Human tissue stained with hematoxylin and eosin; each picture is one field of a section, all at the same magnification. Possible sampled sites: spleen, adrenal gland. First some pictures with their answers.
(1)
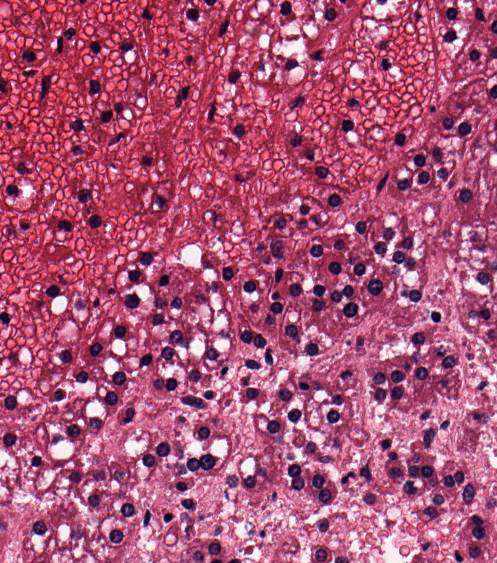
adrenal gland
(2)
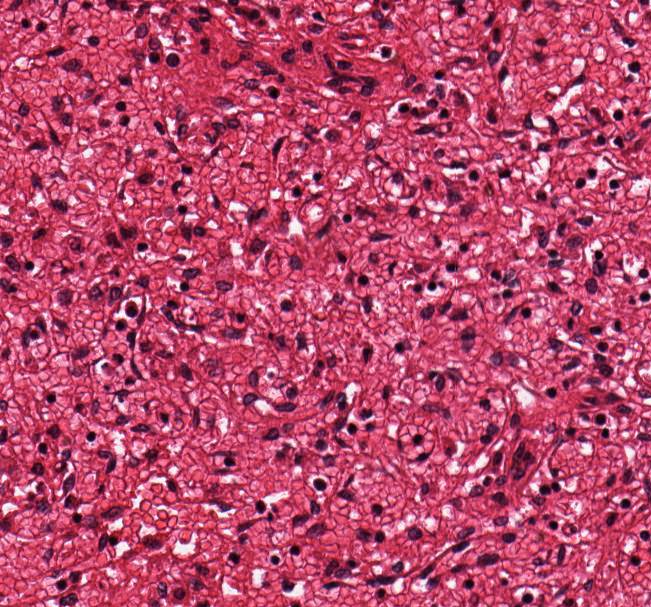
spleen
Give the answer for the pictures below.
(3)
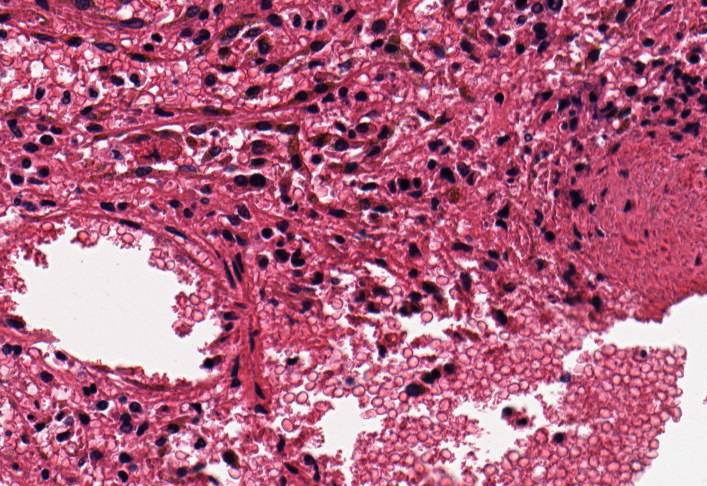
spleen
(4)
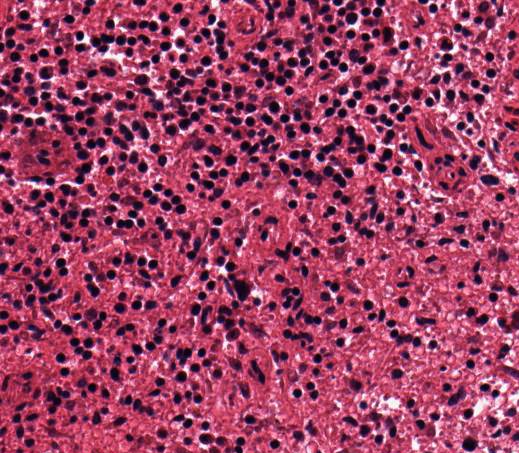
spleen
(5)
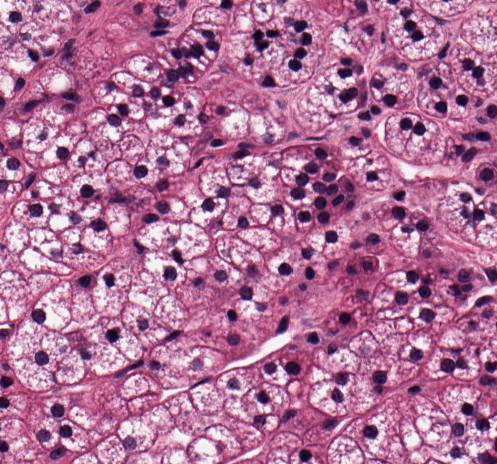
adrenal gland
